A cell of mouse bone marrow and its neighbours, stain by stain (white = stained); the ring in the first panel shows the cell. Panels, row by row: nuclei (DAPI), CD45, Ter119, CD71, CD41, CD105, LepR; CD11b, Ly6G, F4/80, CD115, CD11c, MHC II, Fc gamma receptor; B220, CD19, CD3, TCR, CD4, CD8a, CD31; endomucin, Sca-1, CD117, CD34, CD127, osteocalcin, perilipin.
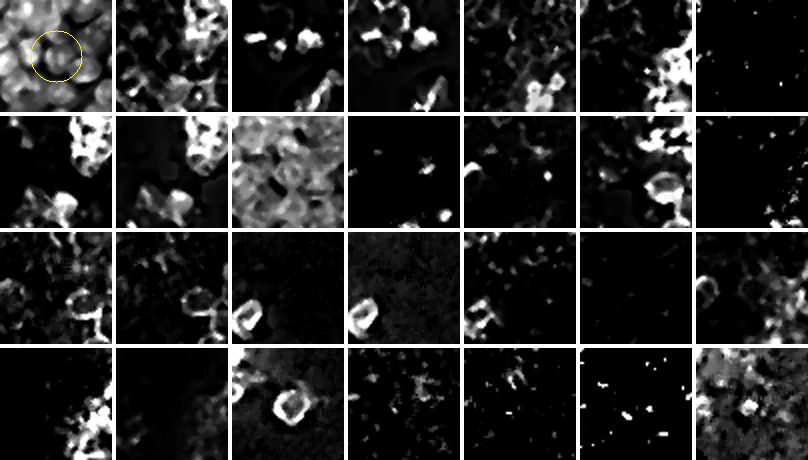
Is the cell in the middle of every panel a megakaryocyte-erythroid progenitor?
Yes, it is a megakaryocyte-erythroid progenitor.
